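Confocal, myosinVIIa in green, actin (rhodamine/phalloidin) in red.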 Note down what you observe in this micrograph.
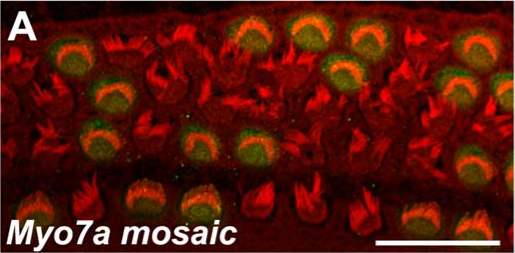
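This is a surface view of the auditory sensory epithelium, with rows of hair cells each bearing a red tuft of stereocilia on its apical surface. Some cells have a diffuse green fill of the cell body under a neat crescent- or V-shaped bundle, while neighbouring cells lack the green and carry more irregular, splayed bundles.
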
